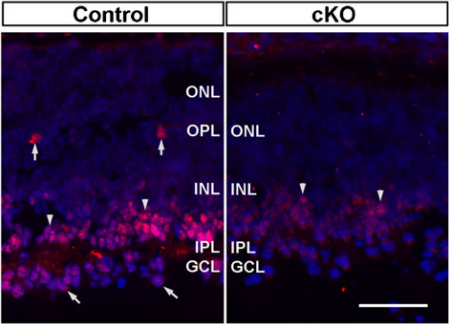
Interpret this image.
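Two retina sections stand side by side, their layers of blue nuclei running from the outer nuclear layer at top to the ganglion cell layer at the bottom. In the left section red cell bodies appear at three levels: a few small scattered cells in the thin outer plexiform layer, a crowded row of cells at the inner edge of the inner nuclear layer, and cells in the ganglion cell layer. In the right section the red is confined to cells at the inner edge of the inner nuclear layer and is fainter, while the outer plexiform and ganglion cell layers show no labelled cells.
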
